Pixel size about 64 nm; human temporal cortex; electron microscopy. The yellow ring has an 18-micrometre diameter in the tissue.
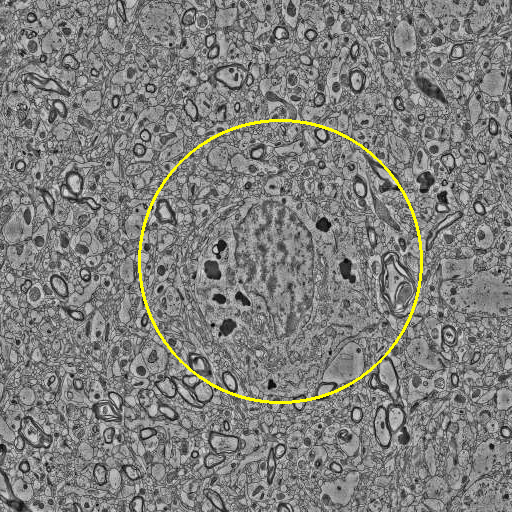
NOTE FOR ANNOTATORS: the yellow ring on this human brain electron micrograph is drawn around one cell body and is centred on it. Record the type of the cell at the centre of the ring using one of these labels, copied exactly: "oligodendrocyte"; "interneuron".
interneuron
